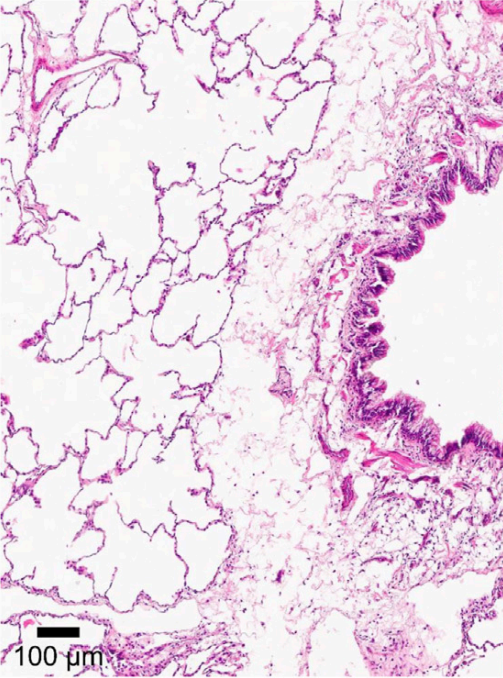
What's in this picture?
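This is lung tissue with a conducting airway cut across, surrounded by alveoli. Beneath the lining lies a thin layer of pink connective tissue with scattered nuclei, and a loose, pale wall outside it. To the left, the airway is bordered by lung parenchyma made of thin pink alveolar walls enclosing large open air spaces.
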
